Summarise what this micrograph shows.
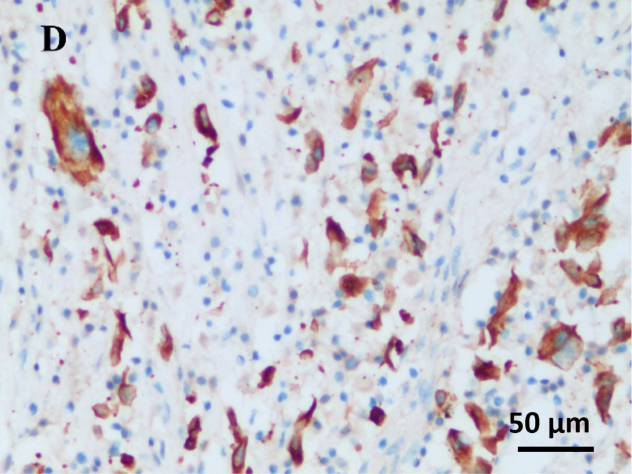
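The stained cells are irregular and varied in shape, some elongated and some polygonal, with one notably large cell, while their nuclei show blue. The many small surrounding stromal and background cells with blue nuclei remain unstained.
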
